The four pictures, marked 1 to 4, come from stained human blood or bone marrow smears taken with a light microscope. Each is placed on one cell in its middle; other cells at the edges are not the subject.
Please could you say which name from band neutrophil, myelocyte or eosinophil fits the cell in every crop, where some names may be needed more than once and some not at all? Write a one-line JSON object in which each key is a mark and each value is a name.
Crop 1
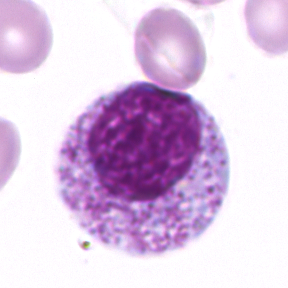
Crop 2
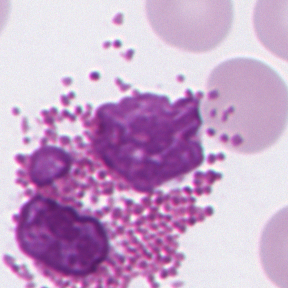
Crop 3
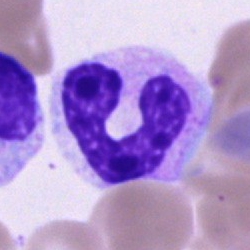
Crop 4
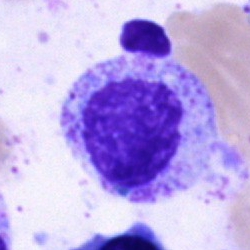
{"1": "myelocyte", "2": "eosinophil", "3": "band neutrophil", "4": "myelocyte"}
